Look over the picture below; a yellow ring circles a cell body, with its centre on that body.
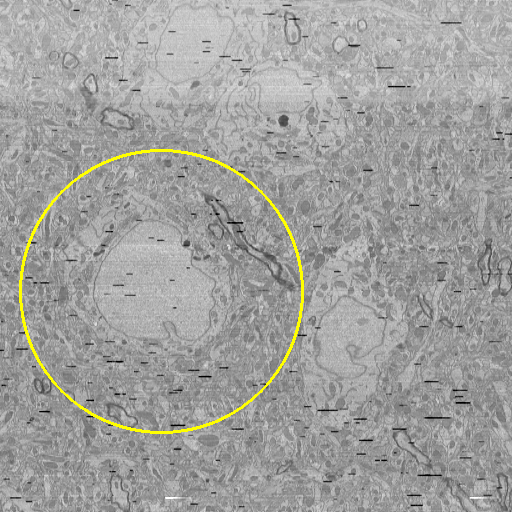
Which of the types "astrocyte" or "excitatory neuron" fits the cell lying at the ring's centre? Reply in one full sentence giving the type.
The picture shows an excitatory neuron at the centre of the yellow ring.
